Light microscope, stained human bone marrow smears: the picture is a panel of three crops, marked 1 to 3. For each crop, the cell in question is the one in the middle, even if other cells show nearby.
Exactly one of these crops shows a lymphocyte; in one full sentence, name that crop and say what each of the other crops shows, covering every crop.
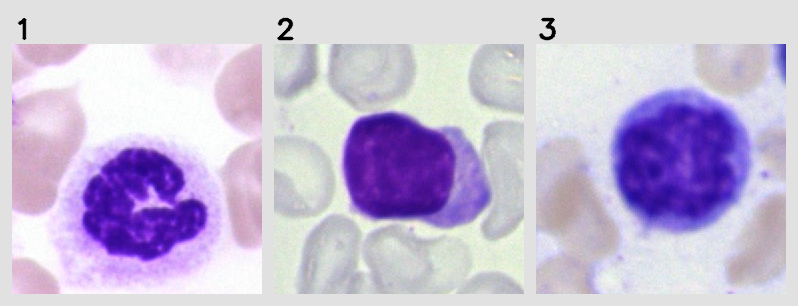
The cell occupying crop 2 is a lymphocyte, whereas crop 1 is a segmented neutrophil and crop 3 is a monocyte.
